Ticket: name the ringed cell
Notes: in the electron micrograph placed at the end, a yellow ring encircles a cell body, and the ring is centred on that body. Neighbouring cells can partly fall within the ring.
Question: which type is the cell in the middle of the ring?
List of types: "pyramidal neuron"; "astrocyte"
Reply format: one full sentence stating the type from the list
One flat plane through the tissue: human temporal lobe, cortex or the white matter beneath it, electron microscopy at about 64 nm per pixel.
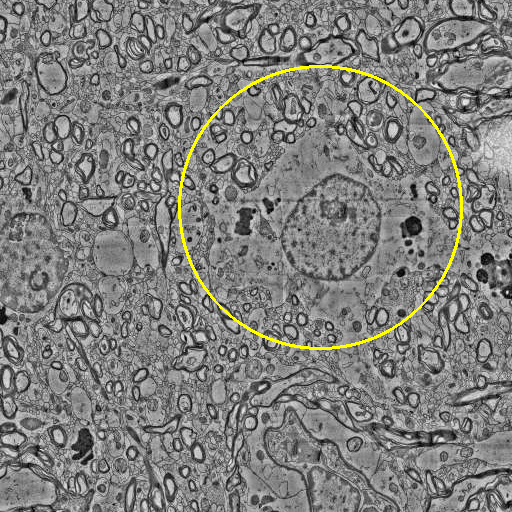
The cell sitting at the centre of the yellow ring is an astrocyte.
